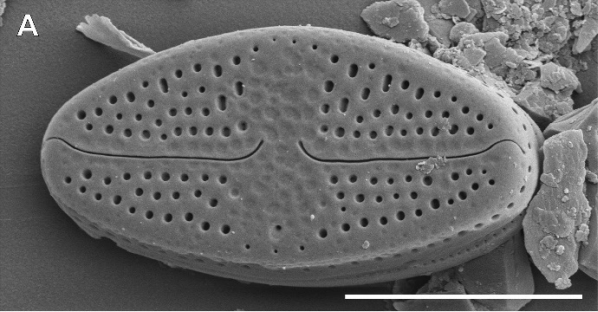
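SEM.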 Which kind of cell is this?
Diatom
